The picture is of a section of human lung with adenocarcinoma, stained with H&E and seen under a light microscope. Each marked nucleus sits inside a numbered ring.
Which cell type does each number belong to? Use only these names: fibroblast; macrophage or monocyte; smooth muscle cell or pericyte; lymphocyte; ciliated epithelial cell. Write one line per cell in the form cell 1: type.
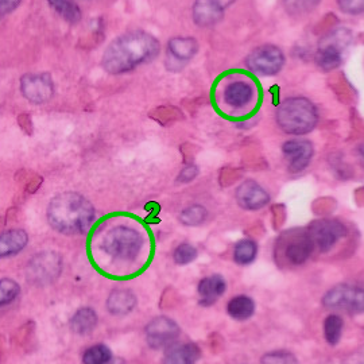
cell 1: lymphocyte
cell 2: macrophage or monocyte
